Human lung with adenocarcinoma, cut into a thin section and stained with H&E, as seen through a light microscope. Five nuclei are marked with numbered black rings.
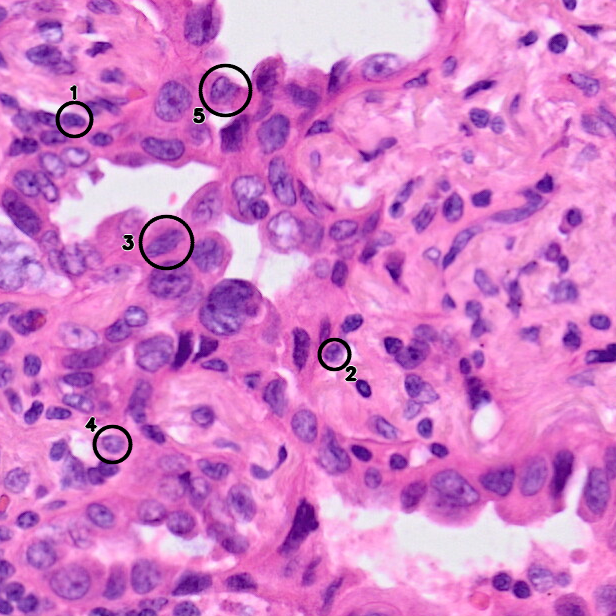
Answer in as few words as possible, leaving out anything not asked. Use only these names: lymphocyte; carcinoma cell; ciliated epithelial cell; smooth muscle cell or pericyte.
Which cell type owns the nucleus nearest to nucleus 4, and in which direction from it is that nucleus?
a lymphocyte, below nucleus 4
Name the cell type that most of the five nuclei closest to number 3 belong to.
carcinoma cell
